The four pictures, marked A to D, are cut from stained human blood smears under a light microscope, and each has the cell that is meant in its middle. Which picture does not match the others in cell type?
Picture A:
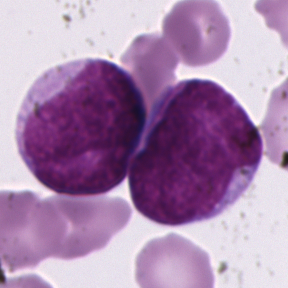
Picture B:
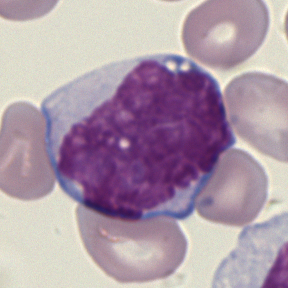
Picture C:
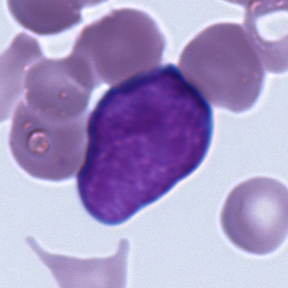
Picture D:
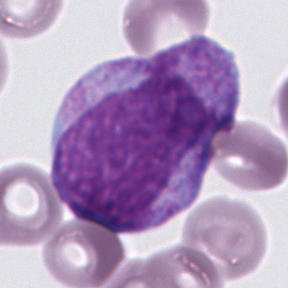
D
